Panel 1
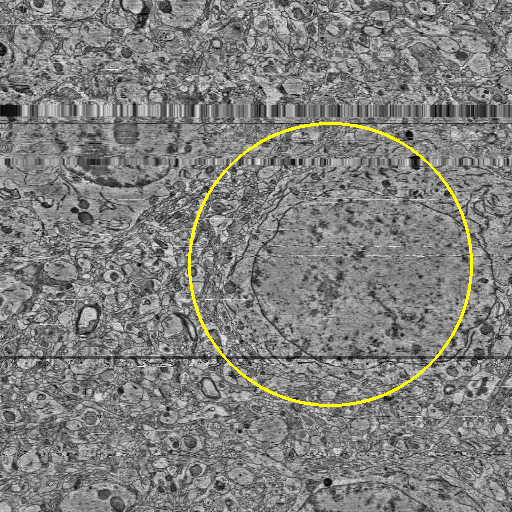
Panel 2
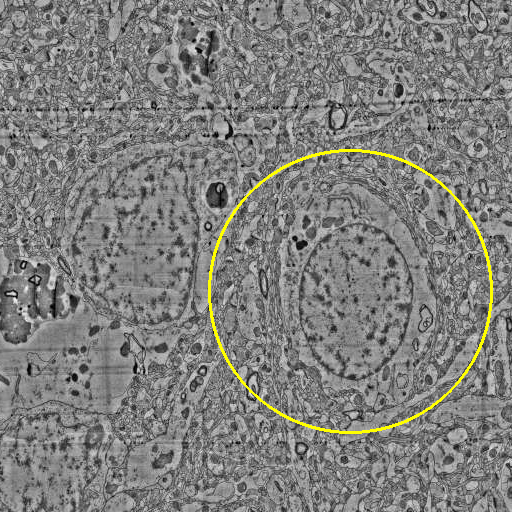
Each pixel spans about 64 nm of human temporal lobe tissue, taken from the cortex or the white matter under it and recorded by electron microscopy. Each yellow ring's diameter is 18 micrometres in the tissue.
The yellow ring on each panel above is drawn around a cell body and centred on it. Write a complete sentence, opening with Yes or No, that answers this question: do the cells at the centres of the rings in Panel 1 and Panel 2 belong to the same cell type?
No, the two cells belong to two cell types.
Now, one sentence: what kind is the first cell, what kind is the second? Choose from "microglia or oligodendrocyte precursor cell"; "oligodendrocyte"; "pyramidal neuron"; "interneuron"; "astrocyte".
The first picture has a pyramidal neuron at its ring centre, and the second has an astrocyte.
